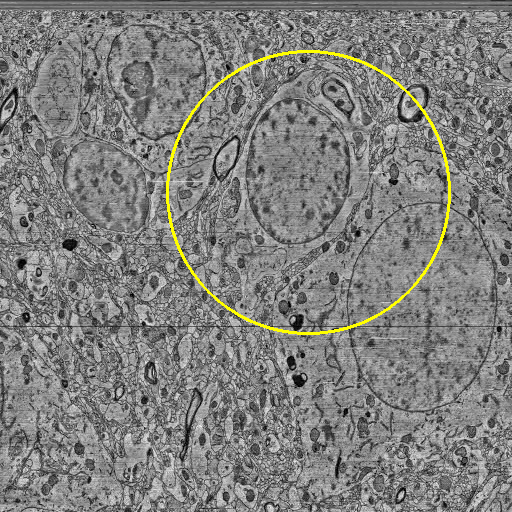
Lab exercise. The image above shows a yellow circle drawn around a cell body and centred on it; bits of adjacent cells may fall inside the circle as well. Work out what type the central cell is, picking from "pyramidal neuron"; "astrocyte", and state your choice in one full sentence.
In the image above, the cell at the centre of the yellow circle is an astrocyte.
